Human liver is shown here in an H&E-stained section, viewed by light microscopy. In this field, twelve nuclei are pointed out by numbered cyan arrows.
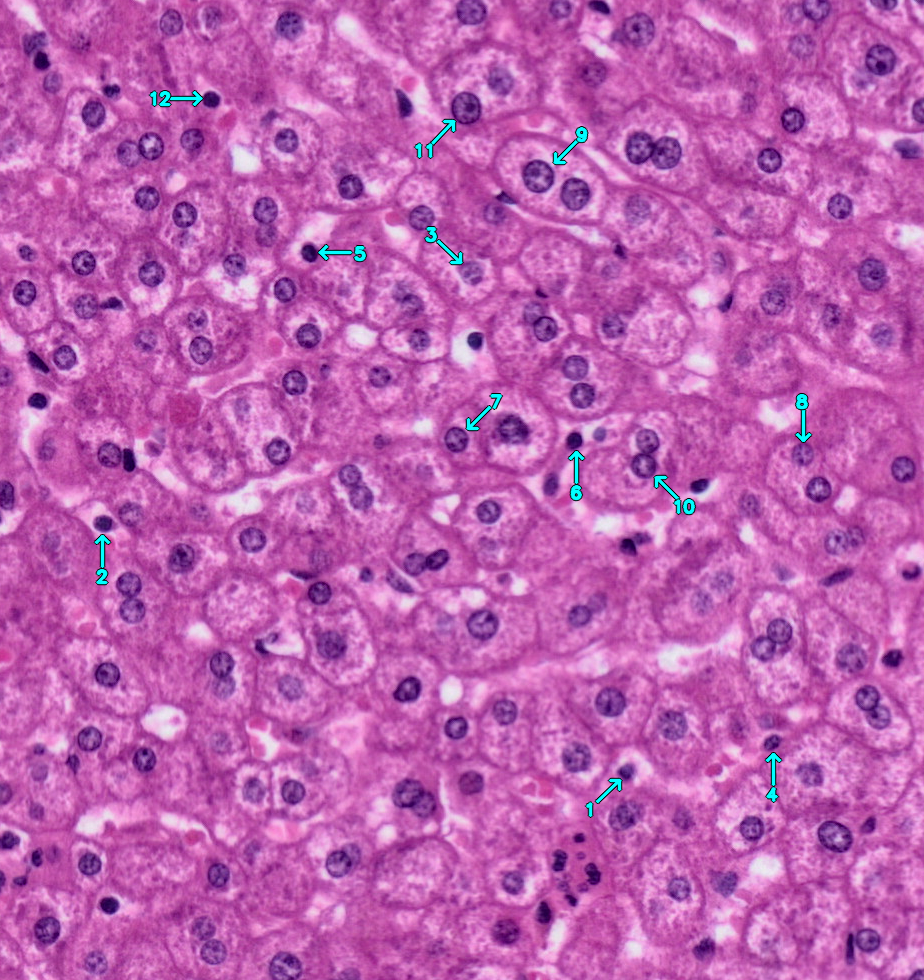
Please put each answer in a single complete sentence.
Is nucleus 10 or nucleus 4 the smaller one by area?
Nucleus 4 is the smaller one; nucleus 10 covers about 2.5 times its area.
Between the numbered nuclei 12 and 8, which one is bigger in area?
The larger nucleus is 8, at roughly 1.5 times the area of 12.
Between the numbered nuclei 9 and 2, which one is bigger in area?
It is nucleus 9, which covers about 3 times the area of nucleus 2.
